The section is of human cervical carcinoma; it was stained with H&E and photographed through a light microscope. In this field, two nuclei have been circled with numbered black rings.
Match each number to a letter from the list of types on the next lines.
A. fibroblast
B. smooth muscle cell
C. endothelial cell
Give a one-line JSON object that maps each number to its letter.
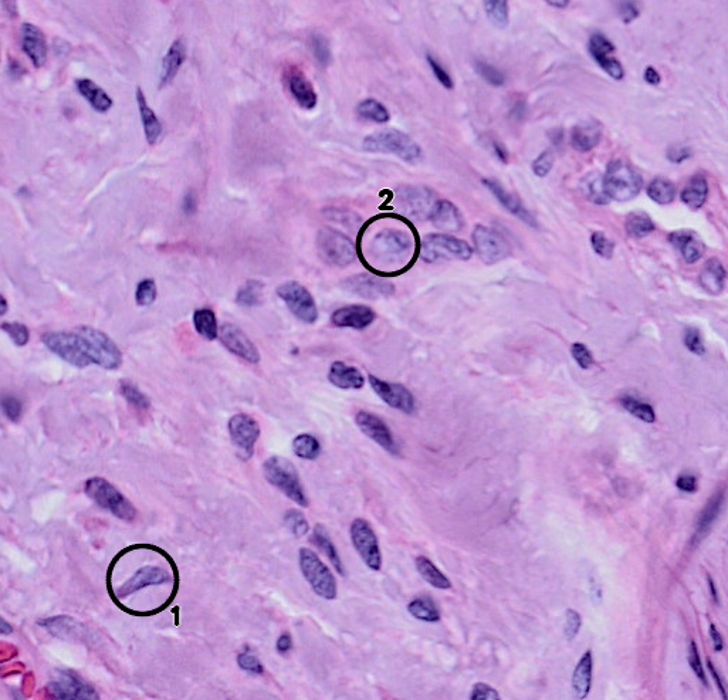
{"1": "A", "2": "C"}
